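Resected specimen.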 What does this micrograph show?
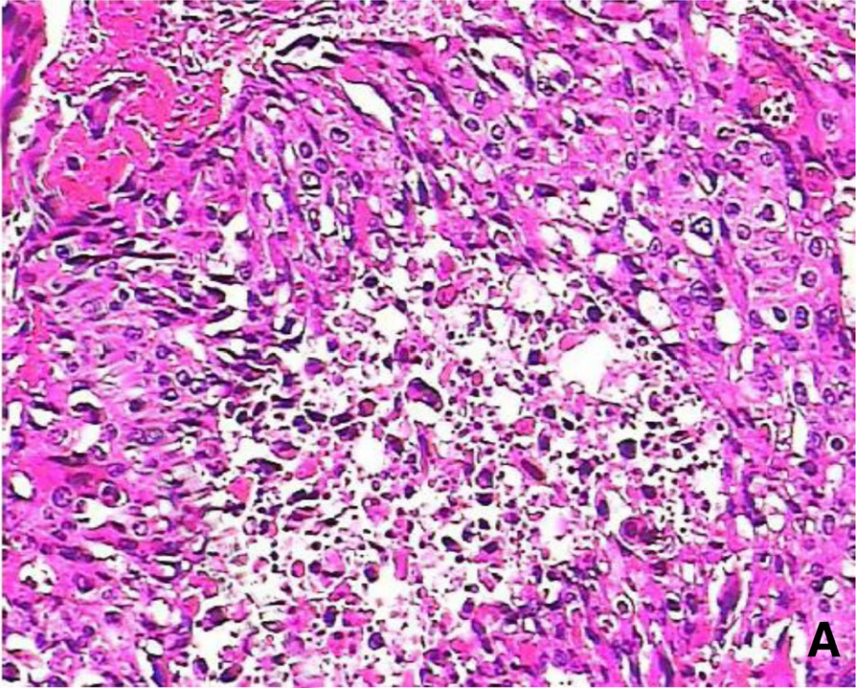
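A densely cellular tumour of pleomorphic cells is stained pink and purple, with enlarged, irregular, dark nuclei, some with visible nucleoli, set in pink cytoplasm. The centre of the field is loosened and fragmented, with scattered small dark nuclei and empty spaces. Bright pink areas at the upper left look like blood.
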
